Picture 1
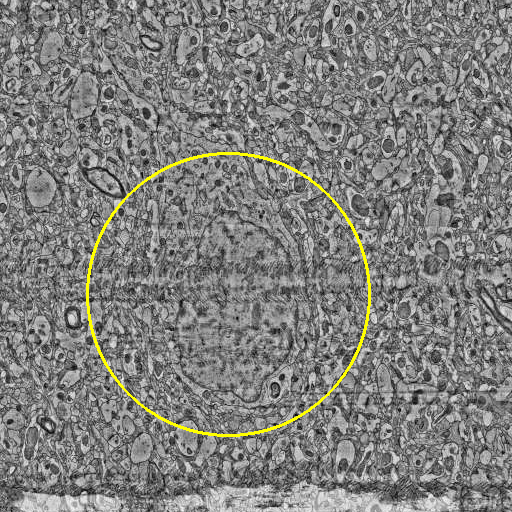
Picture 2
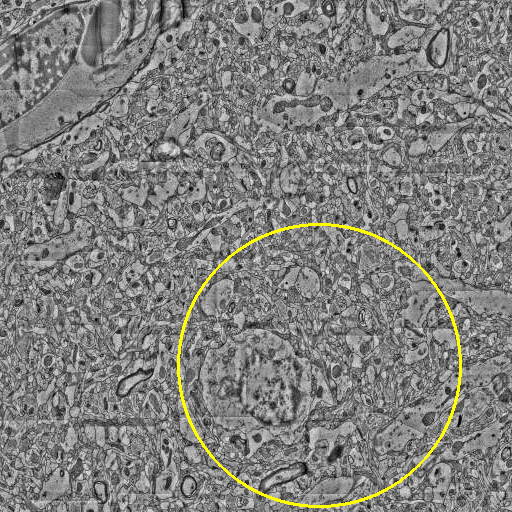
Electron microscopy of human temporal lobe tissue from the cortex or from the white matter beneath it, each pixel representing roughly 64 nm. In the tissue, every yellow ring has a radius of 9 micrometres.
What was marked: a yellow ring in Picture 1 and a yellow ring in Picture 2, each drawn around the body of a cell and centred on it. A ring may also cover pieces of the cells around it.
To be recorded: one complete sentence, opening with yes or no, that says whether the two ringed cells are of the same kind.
Yes, the two ringed cells are of the same kind.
